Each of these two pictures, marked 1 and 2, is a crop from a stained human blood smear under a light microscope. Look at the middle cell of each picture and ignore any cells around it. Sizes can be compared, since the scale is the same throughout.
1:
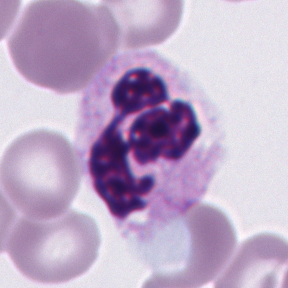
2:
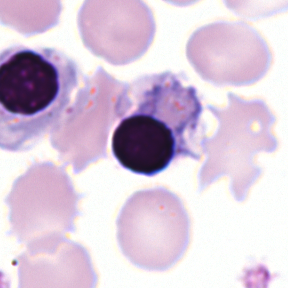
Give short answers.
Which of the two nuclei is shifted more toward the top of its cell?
1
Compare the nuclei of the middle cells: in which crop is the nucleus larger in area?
1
